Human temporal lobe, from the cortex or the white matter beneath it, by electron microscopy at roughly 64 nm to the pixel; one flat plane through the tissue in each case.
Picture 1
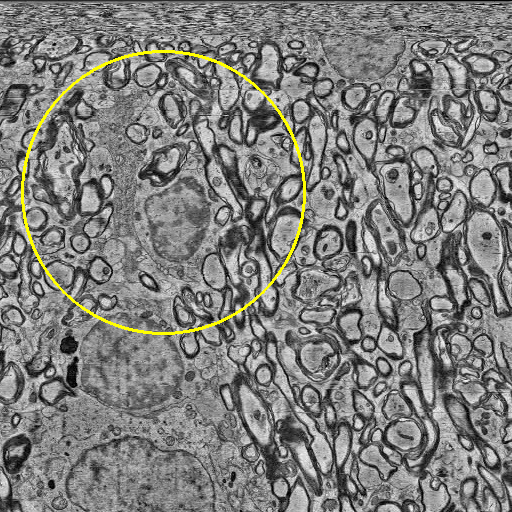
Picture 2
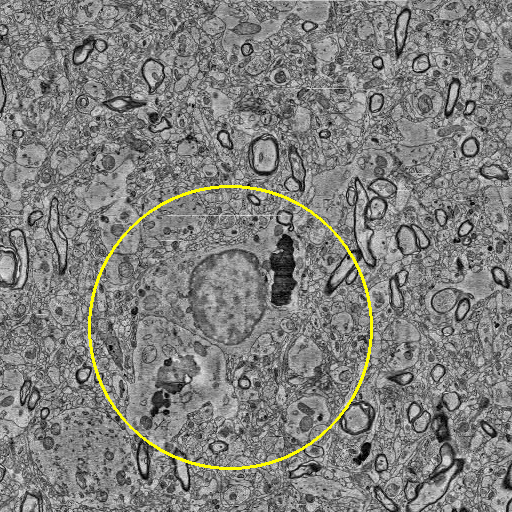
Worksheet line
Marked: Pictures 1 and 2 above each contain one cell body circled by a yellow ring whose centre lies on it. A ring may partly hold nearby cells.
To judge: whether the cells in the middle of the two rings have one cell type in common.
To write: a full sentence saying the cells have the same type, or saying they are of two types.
The cells in the middle of the rings in Picture 1 and Picture 2 have the same type.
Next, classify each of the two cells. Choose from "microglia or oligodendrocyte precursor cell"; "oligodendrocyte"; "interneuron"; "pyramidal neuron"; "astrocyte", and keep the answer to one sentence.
In each picture the ringed cell is an oligodendrocyte.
